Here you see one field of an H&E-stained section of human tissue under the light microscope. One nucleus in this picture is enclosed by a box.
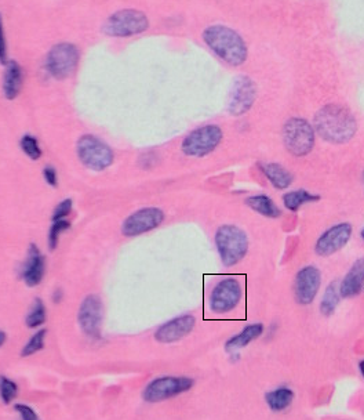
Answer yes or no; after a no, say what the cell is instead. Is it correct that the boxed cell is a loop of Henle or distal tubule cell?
Yes.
